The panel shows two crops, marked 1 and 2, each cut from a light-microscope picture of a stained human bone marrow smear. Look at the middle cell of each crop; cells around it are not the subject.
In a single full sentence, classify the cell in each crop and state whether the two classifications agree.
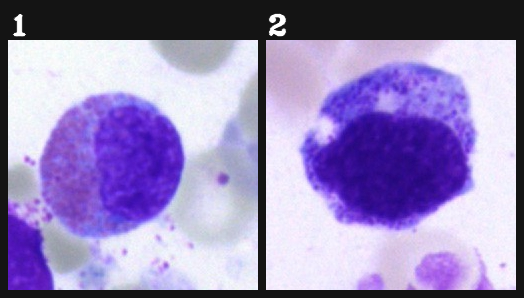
No, crop 1 matches an eosinophil and crop 2 matches a promyelocyte.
